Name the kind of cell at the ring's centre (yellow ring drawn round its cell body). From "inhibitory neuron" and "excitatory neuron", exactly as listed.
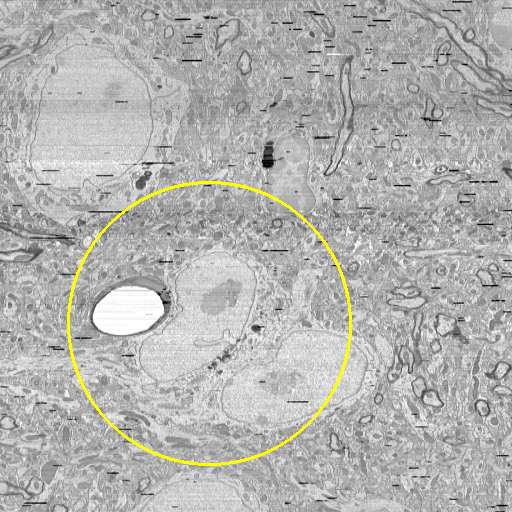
inhibitory neuron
